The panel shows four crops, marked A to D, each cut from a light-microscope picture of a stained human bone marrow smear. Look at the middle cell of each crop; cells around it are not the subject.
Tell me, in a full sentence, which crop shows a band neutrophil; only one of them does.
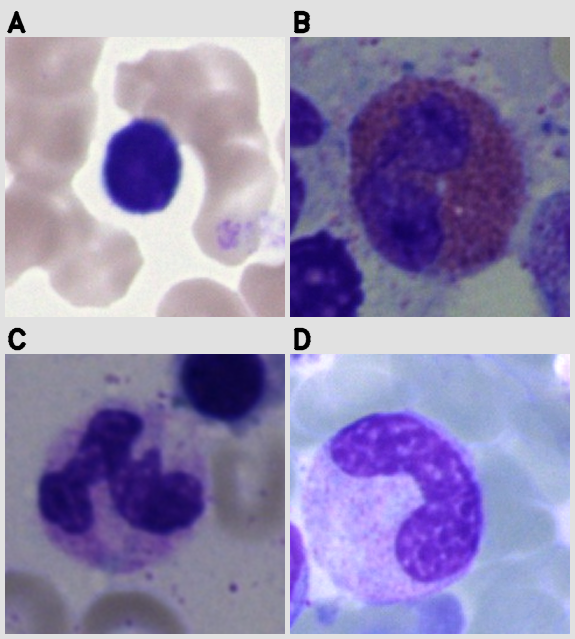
The sole crop showing a band neutrophil is crop D.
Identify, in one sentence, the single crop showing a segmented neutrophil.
Crop C is the crop that displays a segmented neutrophil.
